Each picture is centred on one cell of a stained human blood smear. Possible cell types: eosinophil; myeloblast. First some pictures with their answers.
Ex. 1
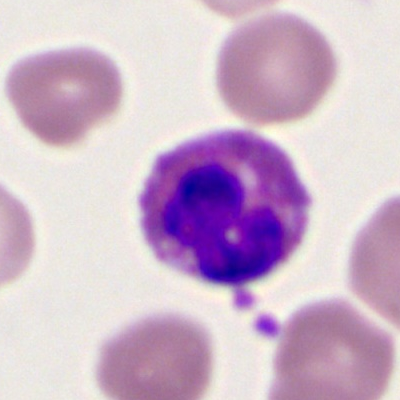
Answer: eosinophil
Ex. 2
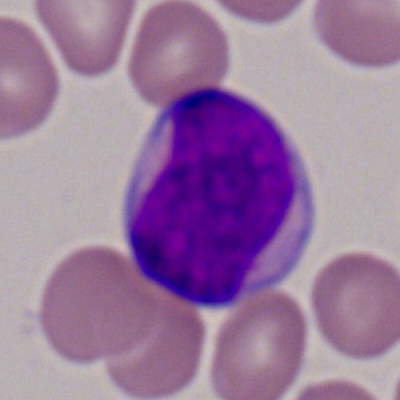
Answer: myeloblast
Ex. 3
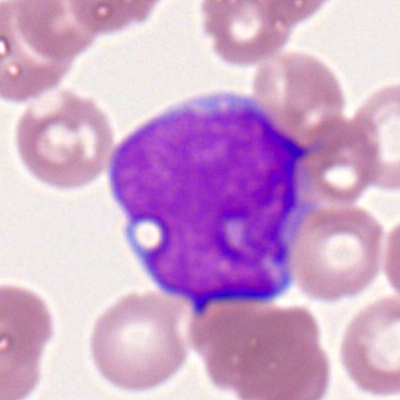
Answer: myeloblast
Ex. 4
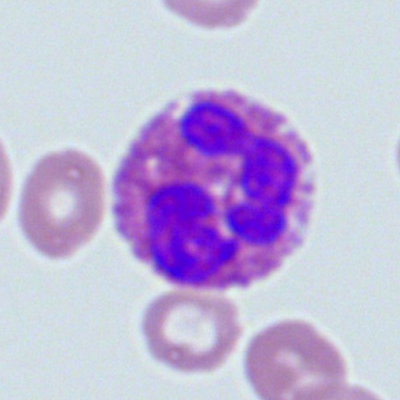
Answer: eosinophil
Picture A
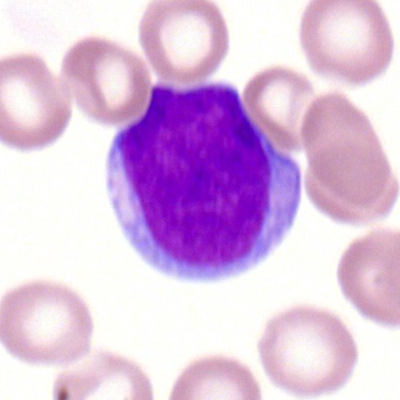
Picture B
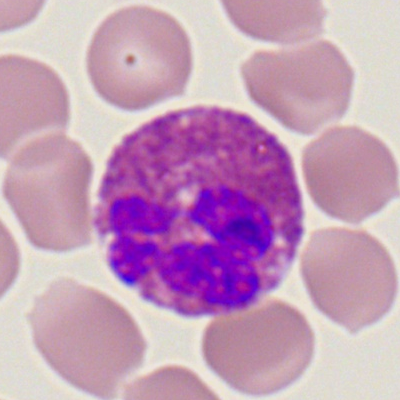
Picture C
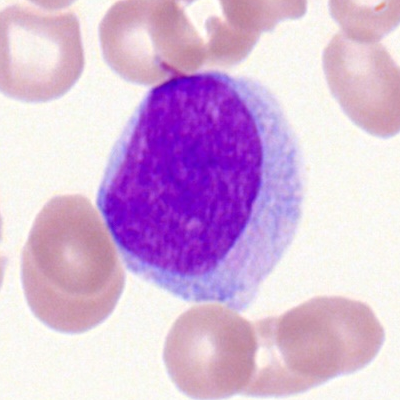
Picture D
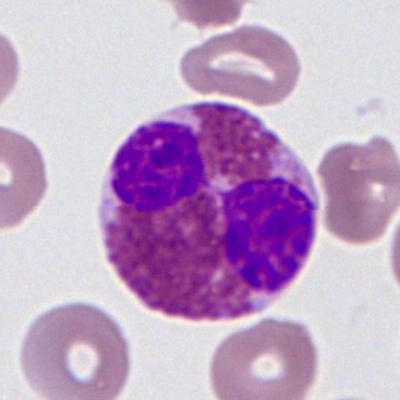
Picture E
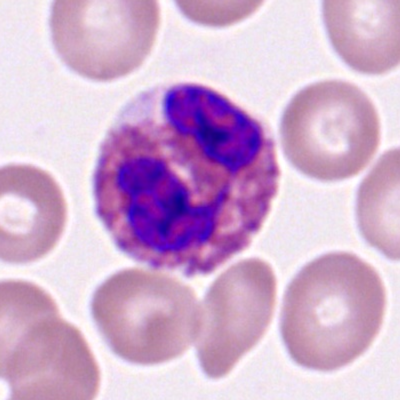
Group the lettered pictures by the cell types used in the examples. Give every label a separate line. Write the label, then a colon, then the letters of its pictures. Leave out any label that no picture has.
eosinophil: B, D, E
myeloblast: A, C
